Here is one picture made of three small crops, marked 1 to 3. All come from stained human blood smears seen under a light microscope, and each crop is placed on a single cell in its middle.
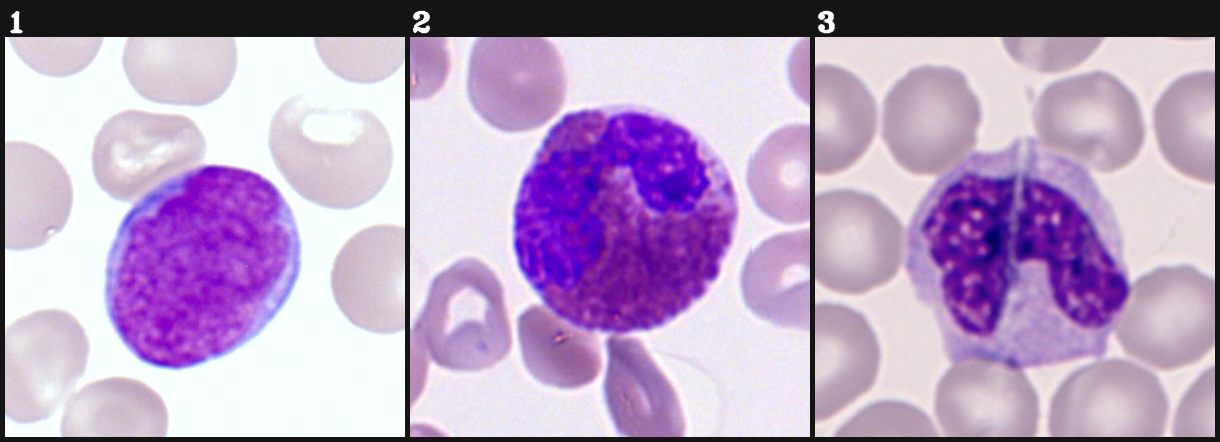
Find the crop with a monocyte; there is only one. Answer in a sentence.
Crop 3, and no other, is the one that shows a monocyte.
